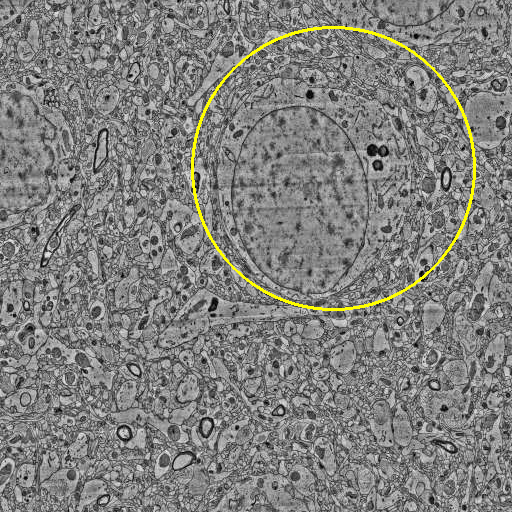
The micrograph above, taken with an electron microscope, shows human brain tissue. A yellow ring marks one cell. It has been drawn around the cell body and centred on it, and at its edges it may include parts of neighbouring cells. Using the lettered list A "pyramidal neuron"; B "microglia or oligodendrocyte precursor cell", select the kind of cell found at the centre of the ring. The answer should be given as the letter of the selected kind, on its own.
A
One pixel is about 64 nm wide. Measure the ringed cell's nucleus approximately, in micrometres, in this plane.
In this plane the nucleus measures roughly 12 by 9 micrometres.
